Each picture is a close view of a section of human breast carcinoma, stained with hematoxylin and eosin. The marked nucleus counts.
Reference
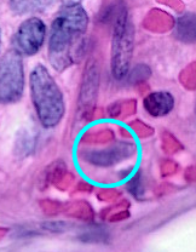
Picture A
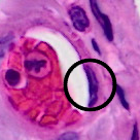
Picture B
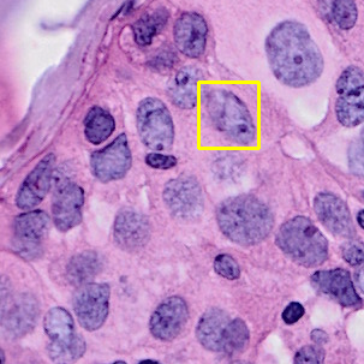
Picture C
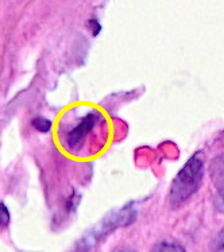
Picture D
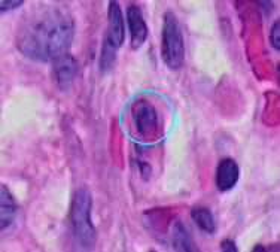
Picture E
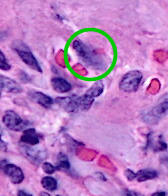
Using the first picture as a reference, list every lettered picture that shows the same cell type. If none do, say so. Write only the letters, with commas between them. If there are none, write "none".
A, C, D, E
